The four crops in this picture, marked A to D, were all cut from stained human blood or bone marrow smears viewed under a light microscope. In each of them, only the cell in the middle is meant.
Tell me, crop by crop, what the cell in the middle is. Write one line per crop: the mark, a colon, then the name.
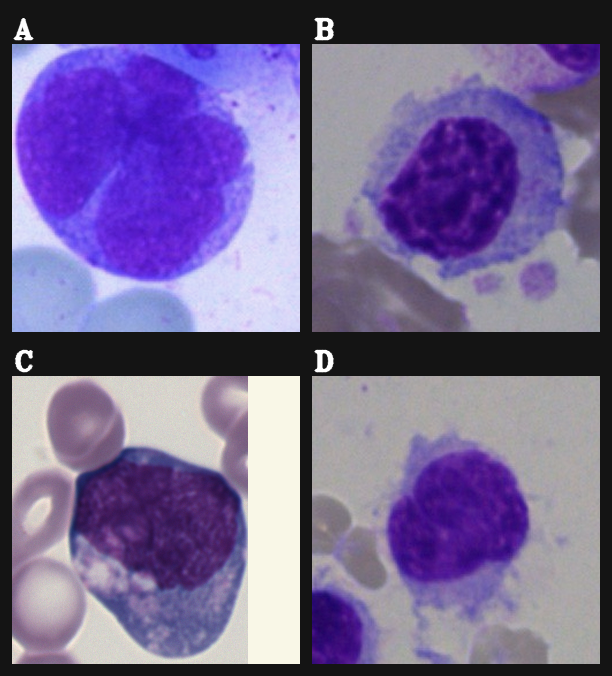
A: blast
B: hairy cell
C: promyelocyte
D: hairy cell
